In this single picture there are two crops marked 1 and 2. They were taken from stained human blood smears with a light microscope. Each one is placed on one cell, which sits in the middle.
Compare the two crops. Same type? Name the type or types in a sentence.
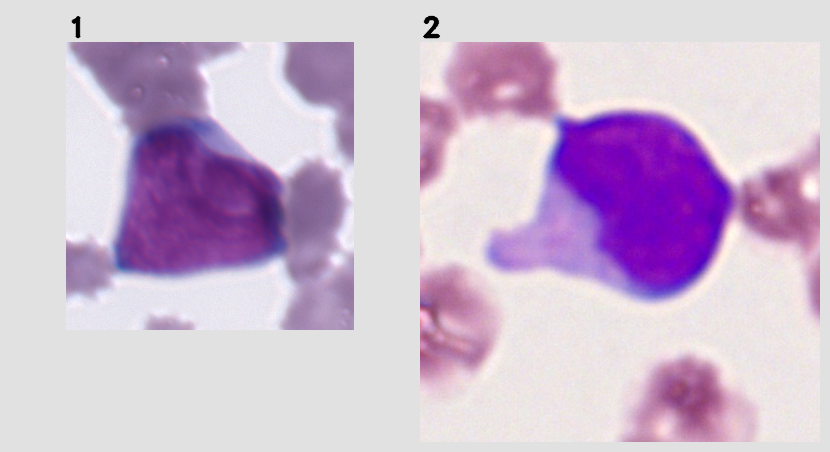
Yes, the cells centred in the two crops are both blasts.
